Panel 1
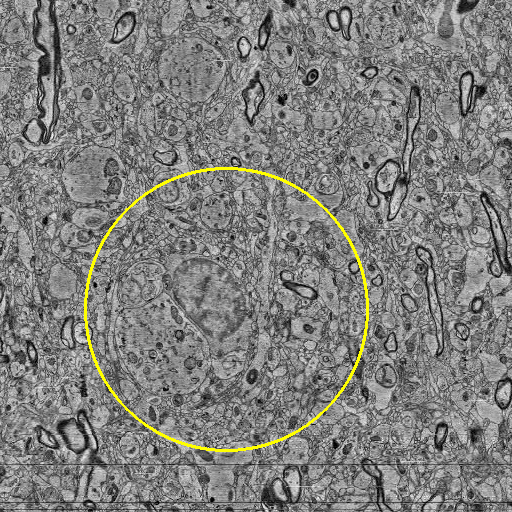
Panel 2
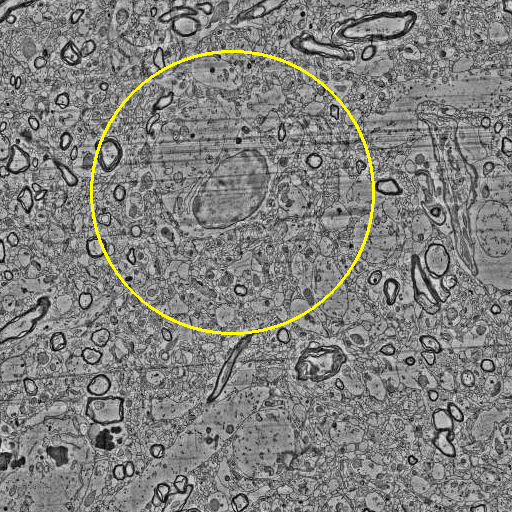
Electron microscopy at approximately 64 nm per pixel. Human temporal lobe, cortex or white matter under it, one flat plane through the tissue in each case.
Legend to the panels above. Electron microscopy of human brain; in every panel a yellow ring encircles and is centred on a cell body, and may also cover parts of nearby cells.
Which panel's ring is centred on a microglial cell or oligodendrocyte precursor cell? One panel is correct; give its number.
2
